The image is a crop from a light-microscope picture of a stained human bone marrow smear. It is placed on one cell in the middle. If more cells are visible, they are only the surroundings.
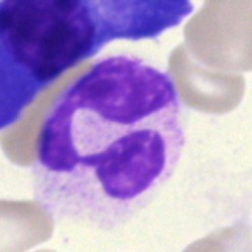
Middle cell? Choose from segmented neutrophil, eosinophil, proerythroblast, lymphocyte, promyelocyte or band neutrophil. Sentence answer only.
Here the cell in the middle is a segmented neutrophil.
